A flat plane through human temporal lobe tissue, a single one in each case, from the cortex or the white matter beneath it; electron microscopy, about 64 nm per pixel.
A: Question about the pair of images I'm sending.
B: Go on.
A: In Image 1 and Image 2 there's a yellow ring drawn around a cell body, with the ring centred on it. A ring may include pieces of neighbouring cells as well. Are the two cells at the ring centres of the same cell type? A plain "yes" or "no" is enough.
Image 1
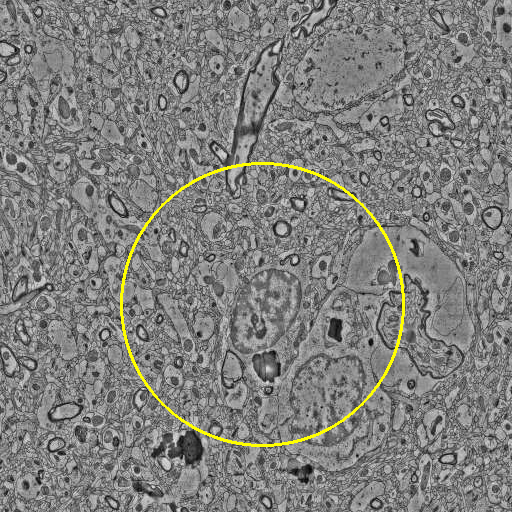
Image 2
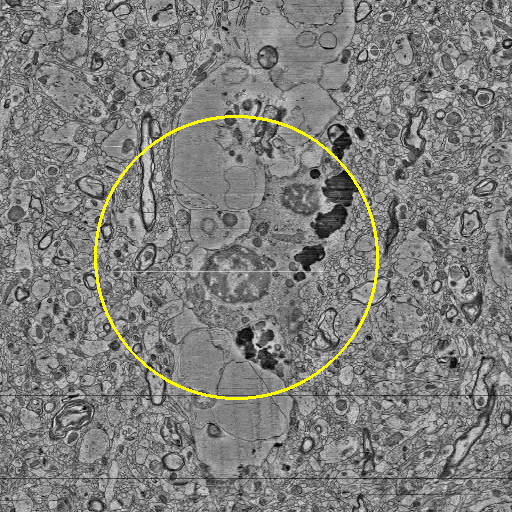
yes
